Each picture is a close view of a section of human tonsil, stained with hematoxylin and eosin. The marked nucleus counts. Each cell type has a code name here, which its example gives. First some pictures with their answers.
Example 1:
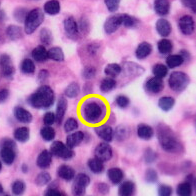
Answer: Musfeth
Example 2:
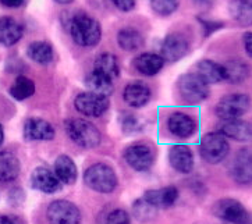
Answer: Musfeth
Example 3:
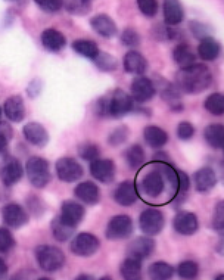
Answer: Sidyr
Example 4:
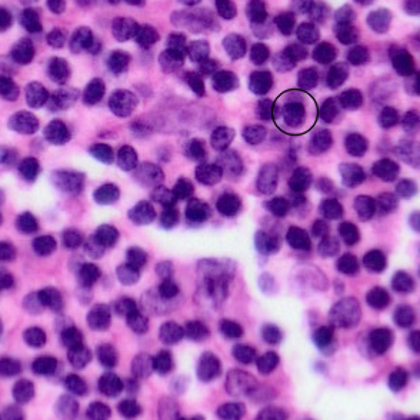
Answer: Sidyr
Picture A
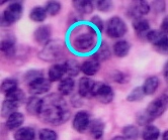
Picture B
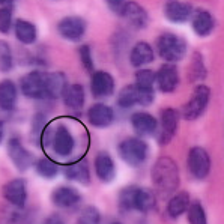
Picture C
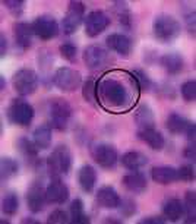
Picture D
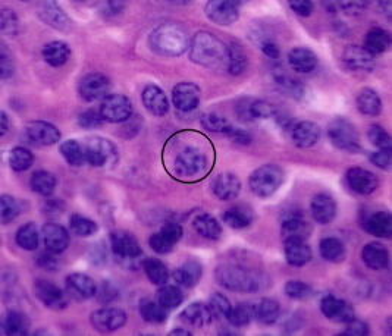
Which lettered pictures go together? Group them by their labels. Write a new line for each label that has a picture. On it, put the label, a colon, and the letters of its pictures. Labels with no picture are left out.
Musfeth: D
Sidyr: A, B, C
